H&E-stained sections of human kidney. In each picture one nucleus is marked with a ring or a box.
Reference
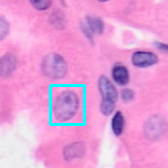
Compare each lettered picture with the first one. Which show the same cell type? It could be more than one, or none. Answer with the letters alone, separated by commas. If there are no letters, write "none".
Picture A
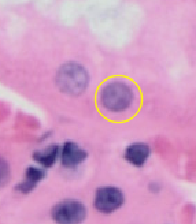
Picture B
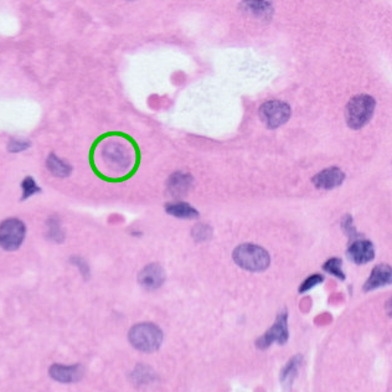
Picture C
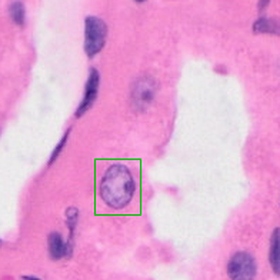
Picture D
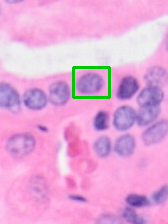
A, B, C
